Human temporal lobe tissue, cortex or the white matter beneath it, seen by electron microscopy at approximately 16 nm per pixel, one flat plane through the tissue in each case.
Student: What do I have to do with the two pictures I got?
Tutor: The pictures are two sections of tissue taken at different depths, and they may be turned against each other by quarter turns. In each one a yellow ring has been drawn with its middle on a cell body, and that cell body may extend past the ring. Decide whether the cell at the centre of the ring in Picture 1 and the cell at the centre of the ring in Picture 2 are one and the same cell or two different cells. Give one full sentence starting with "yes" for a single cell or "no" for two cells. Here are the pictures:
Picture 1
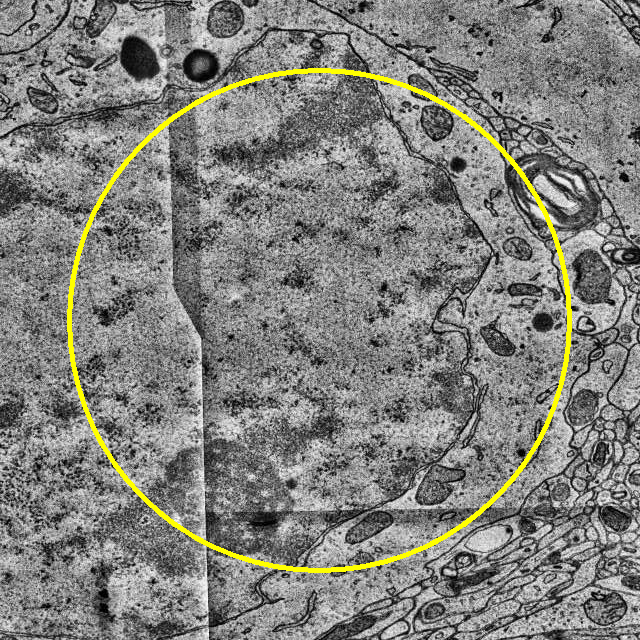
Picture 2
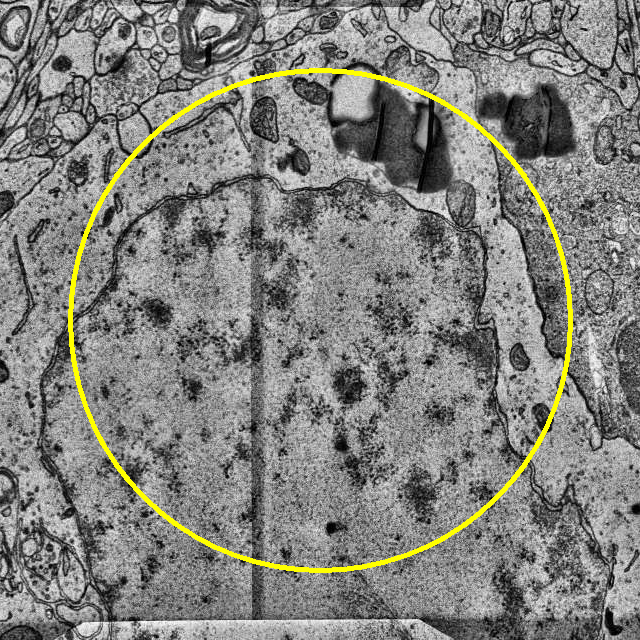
Yes, a single cell is the subject of both yellow rings.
